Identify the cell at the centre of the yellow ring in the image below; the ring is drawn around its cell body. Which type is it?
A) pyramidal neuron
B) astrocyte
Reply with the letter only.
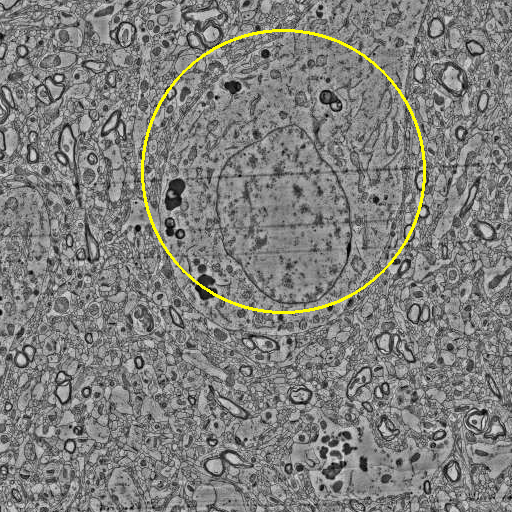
A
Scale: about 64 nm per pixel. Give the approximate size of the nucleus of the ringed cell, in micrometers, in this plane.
In this plane, roughly 11 by 9 micrometres.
